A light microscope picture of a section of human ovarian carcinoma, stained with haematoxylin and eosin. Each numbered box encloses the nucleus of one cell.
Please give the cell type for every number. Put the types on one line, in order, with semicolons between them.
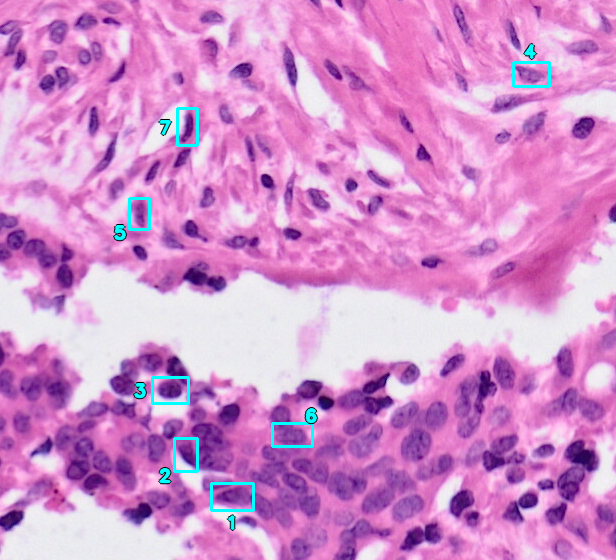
carcinoma cell; carcinoma cell; carcinoma cell; fibroblast; fibroblast; carcinoma cell; fibroblast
